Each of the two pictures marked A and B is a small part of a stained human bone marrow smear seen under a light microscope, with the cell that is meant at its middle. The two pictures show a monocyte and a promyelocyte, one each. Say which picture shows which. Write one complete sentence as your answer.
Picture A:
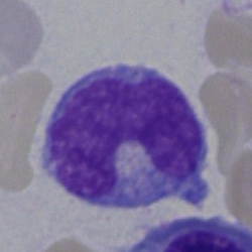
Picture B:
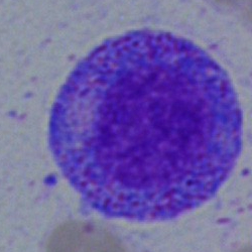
Picture A shows a monocyte and picture B shows a promyelocyte.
